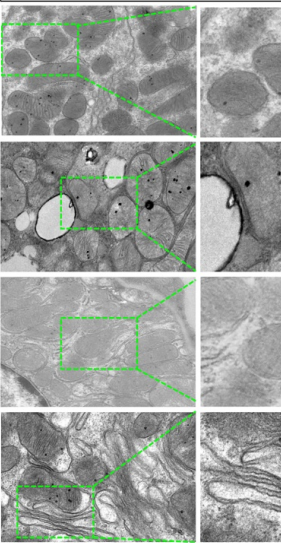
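Eight grey electron micrographs in pairs show oval and elongated membrane-bound organelles packed in the cytoplasm, several with fine internal folds and scattered small dark dense granules. In some pairs the organelles look rounded and swollen, lying beside a large pale empty vacuole, while in others the outlines are faint and the internal folds hard to make out. The bottom pair also shows long parallel stacks of membranes running past the organelles.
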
